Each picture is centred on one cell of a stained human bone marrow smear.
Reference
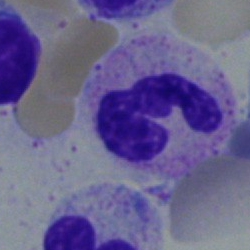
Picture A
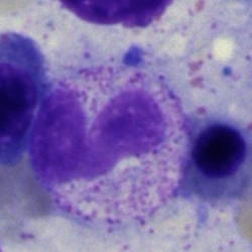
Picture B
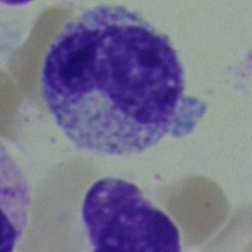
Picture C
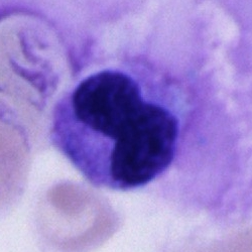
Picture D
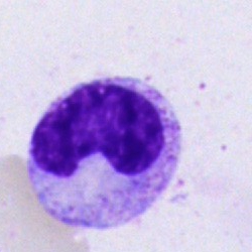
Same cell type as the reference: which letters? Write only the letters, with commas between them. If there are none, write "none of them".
A, C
